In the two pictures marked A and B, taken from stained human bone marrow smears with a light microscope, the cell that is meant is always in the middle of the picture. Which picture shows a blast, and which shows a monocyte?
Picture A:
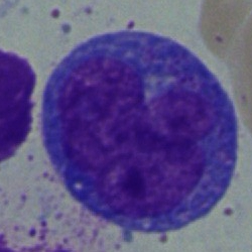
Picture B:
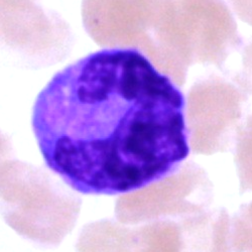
A: blast
B: monocyte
